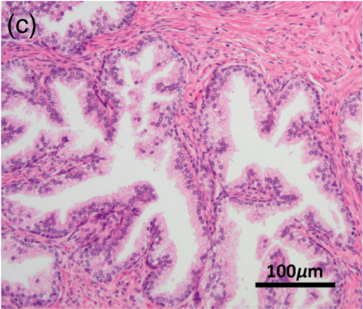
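This section shows benign prostate glands set in a dense pink stroma. The glands have wide white lumens with branching, finger-like infoldings of the lining. The lining is made of tall cells with pale pink cytoplasm and purple nuclei set toward the base, and beneath them lies a thinner outer layer of flatter cells with small dark nuclei. Around the glands the stroma is pink and fibrous, with elongated spindle-shaped nuclei running in streams.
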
